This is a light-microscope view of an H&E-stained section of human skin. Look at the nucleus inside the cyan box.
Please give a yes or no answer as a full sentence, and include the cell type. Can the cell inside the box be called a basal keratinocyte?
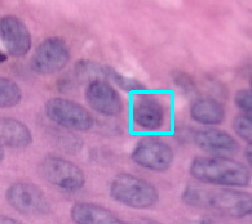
Yes, no change needed: the cell inside the box is a basal keratinocyte.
